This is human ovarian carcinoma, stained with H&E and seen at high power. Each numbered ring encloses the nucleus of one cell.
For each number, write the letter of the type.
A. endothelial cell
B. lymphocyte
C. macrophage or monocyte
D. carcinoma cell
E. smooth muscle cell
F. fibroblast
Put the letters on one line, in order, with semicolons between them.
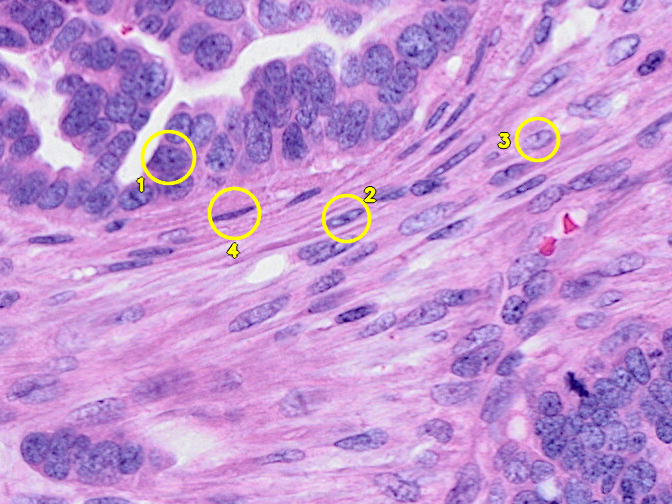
D; F; F; F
